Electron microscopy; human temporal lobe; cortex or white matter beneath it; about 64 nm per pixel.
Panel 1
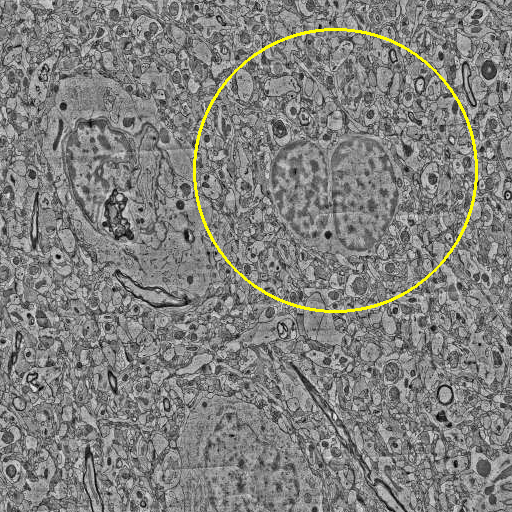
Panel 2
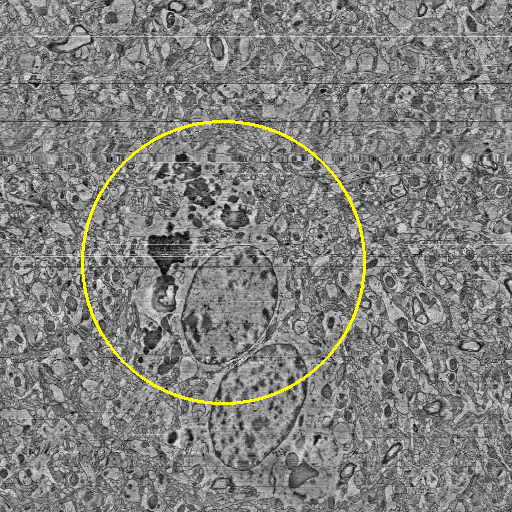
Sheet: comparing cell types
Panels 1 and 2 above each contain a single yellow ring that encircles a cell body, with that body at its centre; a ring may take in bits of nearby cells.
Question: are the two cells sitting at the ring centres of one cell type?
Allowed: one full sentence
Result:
No, the ring-centre cells in Panel 1 and Panel 2 are of two types.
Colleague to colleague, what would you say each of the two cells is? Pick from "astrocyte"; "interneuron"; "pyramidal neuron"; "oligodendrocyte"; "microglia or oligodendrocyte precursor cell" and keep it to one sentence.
The cell in the first picture is an oligodendrocyte; the second picture's cell is an astrocyte.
